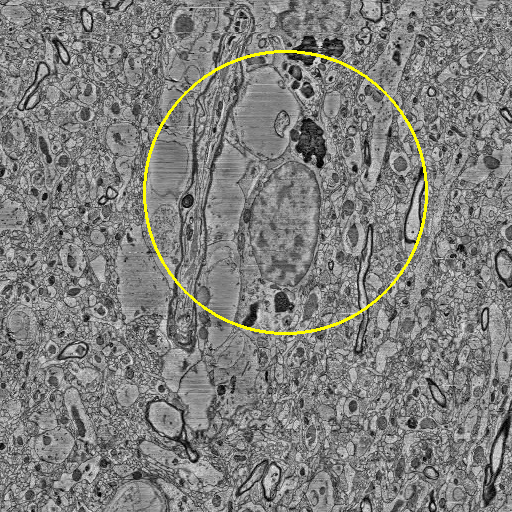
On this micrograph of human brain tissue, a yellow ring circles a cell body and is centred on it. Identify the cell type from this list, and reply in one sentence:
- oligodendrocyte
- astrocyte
The cell at the centre is an oligodendrocyte.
